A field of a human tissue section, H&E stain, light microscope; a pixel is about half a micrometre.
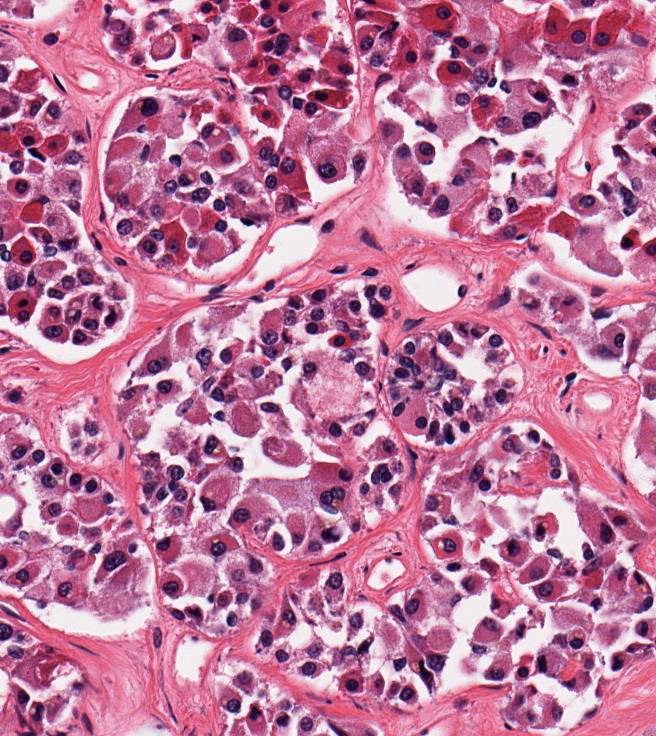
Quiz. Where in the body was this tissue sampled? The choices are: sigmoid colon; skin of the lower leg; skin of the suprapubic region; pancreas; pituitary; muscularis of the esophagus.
pituitary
